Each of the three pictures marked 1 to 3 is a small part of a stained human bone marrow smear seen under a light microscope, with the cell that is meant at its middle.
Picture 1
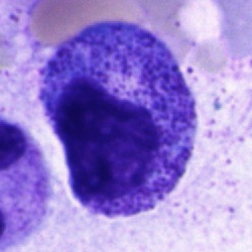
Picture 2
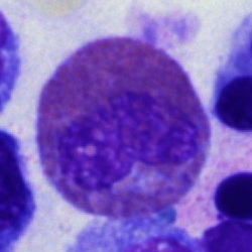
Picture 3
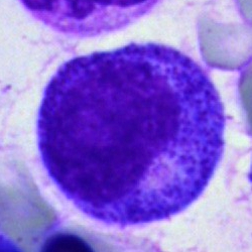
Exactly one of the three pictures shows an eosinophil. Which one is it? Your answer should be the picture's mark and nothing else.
2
